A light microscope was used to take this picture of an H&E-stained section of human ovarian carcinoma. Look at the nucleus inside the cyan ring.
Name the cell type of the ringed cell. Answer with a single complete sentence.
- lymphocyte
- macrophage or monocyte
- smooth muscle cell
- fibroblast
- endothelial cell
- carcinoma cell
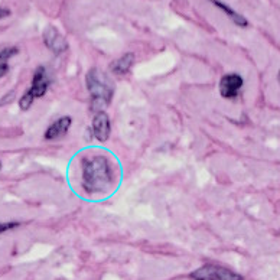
By its classification, the ringed cell is a fibroblast.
